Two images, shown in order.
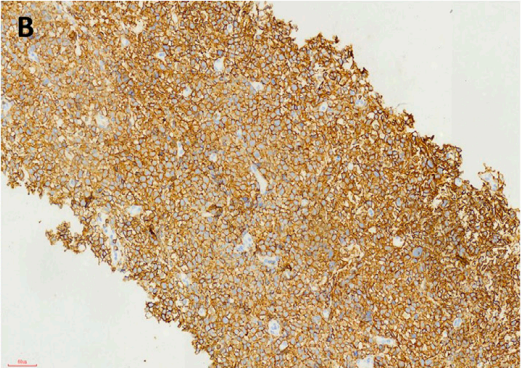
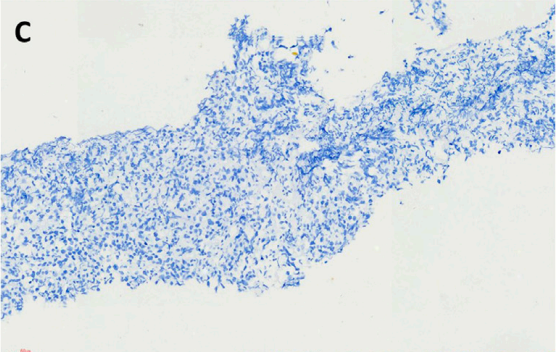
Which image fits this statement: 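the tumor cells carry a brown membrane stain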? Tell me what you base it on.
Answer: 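Second image: the tumor cells show only blue counterstain, with no brown staining. First image: nearly all tumor cells are outlined by a strong brown rim around their membranes.
Hence: the first image.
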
